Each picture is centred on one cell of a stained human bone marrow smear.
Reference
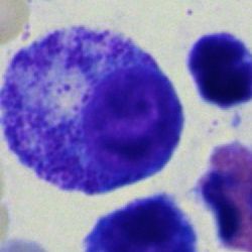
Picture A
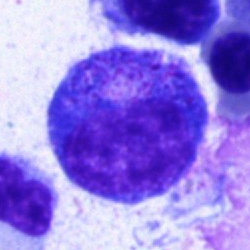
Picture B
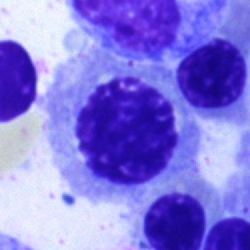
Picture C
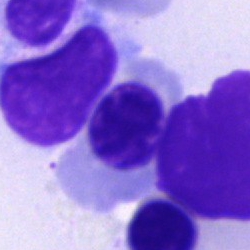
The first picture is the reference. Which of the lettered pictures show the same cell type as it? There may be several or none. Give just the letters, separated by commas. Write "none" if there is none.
A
